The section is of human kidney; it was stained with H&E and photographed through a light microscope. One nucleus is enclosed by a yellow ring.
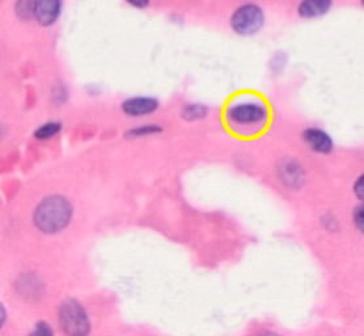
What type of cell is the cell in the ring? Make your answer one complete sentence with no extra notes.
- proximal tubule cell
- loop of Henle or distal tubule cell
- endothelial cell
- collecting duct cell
Recorded by type, the cell in the ring is a loop of Henle or distal tubule cell.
